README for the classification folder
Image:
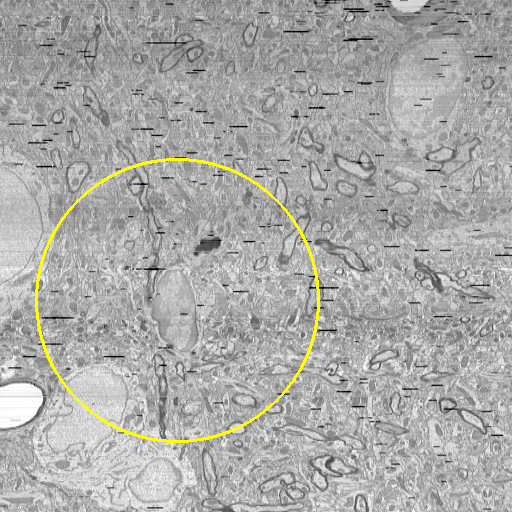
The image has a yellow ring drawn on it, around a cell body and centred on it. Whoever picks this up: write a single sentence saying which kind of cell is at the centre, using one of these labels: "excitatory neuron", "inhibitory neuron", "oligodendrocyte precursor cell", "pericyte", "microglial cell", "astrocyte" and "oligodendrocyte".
This cell body is that of a microglial cell.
